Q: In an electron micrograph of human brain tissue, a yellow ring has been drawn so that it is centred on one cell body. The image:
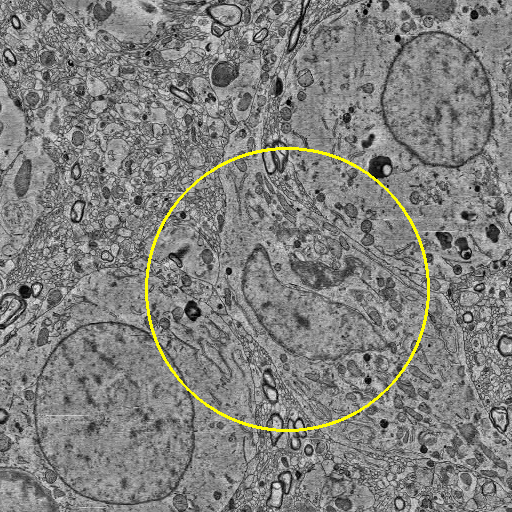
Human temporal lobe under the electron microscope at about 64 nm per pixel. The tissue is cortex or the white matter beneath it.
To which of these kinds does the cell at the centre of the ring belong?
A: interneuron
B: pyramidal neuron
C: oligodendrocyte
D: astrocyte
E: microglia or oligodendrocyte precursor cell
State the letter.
A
